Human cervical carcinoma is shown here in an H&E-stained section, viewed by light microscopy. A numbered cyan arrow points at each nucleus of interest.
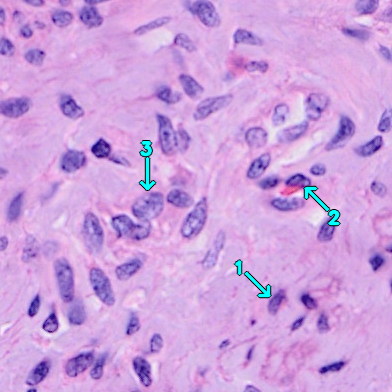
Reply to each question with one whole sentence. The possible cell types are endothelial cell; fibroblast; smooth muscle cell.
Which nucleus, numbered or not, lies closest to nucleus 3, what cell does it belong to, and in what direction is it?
The nearest nucleus is that of an endothelial cell and lies below nucleus 3.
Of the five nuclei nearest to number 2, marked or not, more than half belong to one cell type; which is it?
The majority of the five nuclei closest to number 2 belong to endothelial cells.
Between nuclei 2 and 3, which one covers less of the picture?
Nucleus 2 is the smaller one; nucleus 3 covers about 2.5 times its area.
